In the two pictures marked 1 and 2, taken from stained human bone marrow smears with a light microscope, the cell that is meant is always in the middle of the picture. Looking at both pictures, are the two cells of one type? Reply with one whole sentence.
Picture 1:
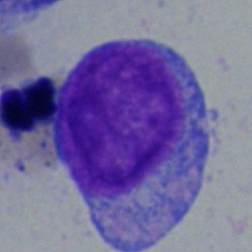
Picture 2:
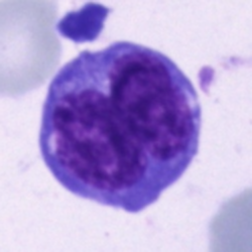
Yes, they are the same type: both are blasts.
